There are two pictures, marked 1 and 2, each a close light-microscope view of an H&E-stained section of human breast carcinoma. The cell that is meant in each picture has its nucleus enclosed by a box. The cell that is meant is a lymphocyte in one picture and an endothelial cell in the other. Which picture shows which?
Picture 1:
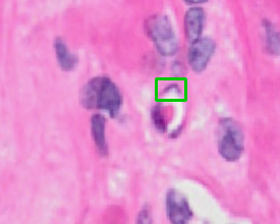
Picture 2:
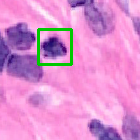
1: endothelial cell
2: lymphocyte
